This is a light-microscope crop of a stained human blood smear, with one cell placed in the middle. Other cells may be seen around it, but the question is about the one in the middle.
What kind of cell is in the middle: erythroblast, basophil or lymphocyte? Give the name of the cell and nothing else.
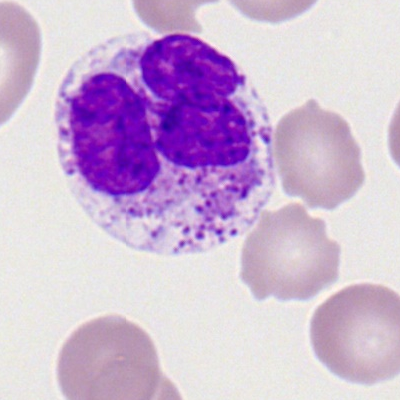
basophil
